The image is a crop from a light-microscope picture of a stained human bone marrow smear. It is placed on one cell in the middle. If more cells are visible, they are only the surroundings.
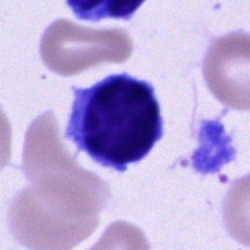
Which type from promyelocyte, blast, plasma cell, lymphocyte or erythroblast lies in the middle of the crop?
lymphocyte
